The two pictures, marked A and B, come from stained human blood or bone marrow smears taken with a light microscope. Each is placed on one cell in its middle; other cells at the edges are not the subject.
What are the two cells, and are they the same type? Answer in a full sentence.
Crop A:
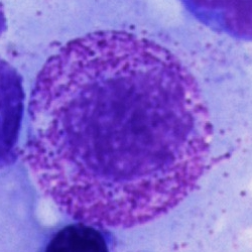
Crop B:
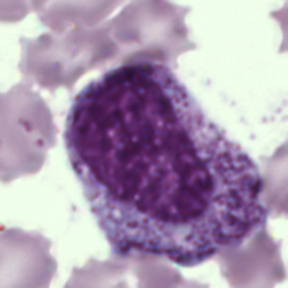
Yes, the middle cells in the two crops are myelocytes.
